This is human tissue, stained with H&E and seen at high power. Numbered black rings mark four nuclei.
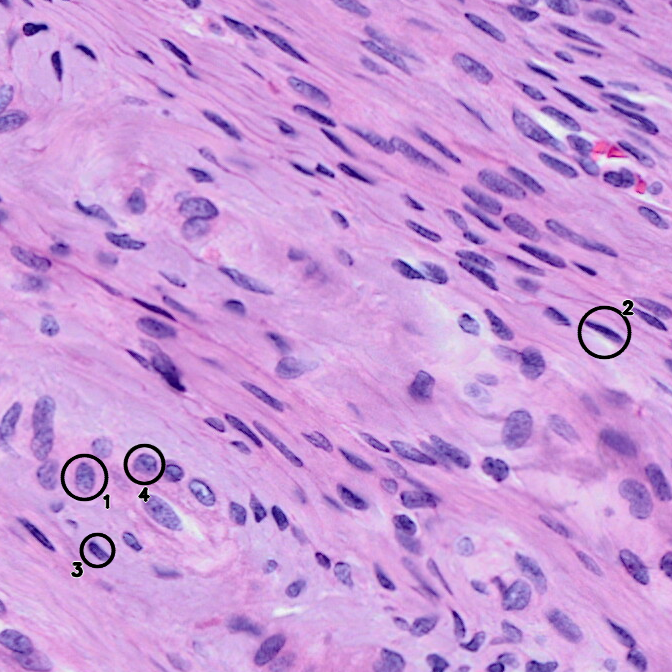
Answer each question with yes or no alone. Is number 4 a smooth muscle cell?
yes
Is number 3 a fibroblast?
yes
